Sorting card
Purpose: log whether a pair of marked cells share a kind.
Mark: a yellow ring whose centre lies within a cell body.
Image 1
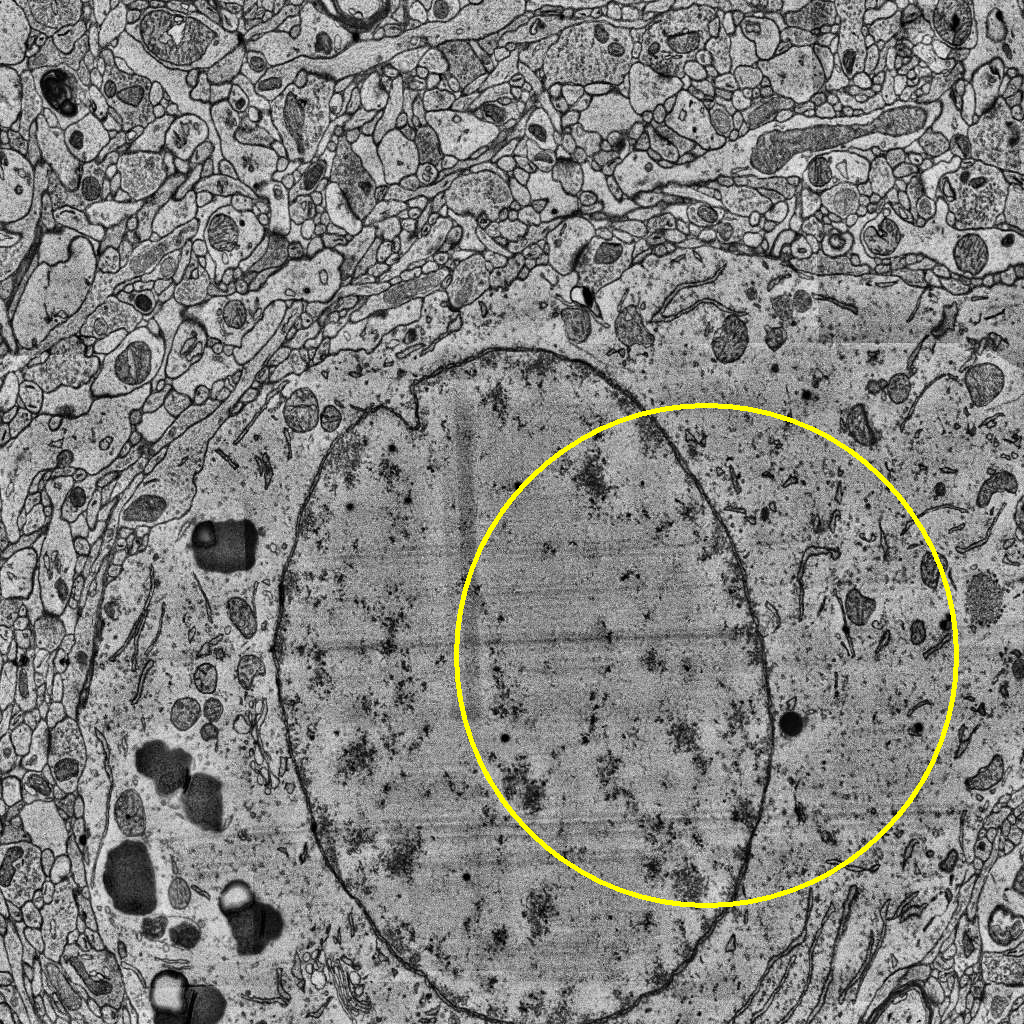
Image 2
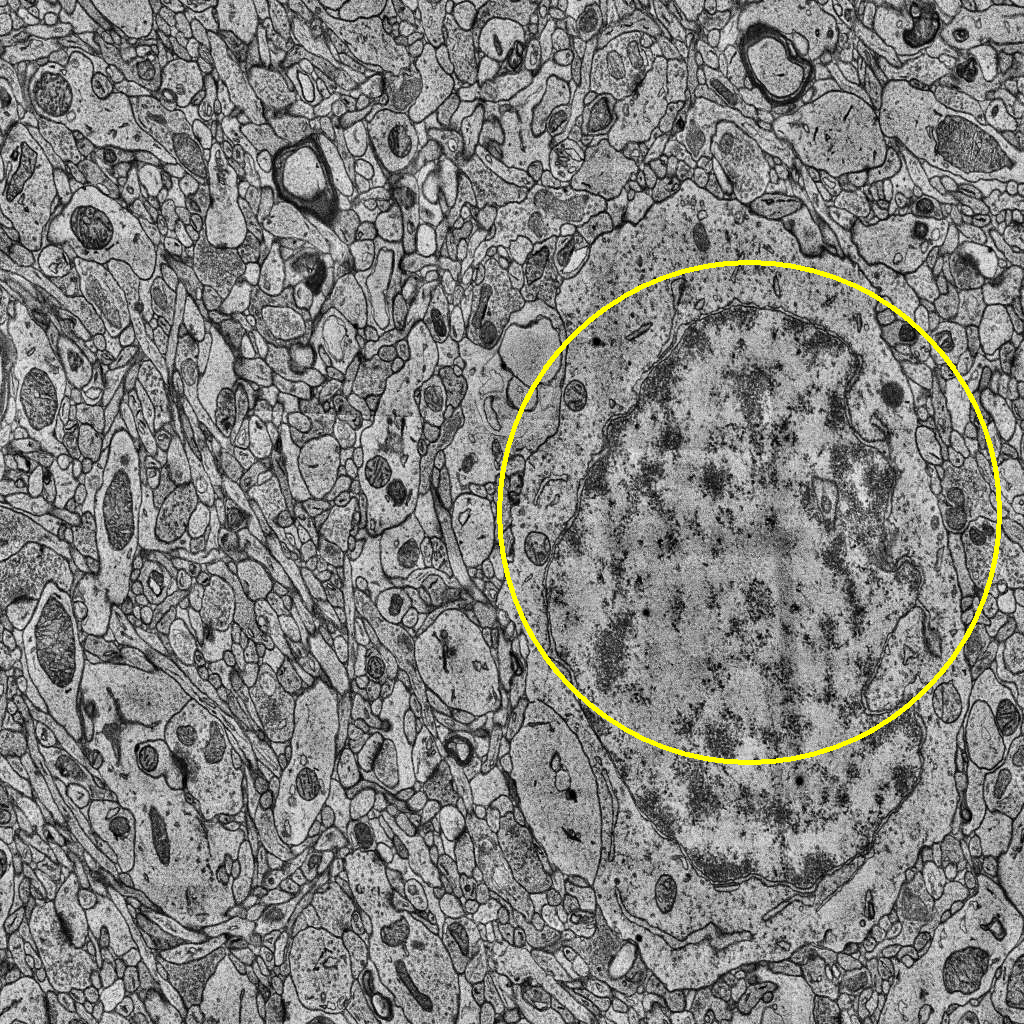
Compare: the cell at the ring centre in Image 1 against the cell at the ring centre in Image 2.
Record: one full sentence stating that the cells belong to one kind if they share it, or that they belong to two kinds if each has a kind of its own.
Across Images 1 and 2, the two cells at the ring centres belong to two kinds.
